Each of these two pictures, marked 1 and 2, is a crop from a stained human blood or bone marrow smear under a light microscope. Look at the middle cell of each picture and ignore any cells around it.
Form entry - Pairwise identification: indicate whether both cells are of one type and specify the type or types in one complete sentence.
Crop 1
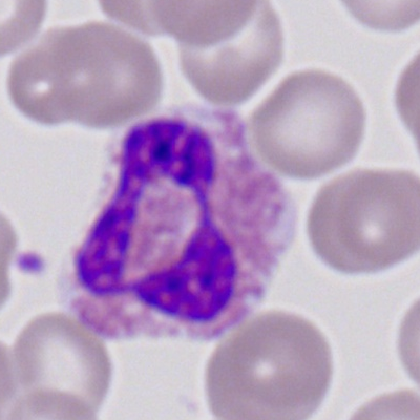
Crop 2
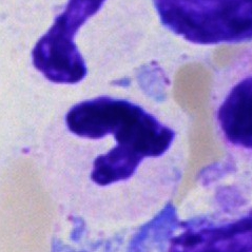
No, crop 1 shows an eosinophil, and the cell in crop 2 is a neutrophil.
